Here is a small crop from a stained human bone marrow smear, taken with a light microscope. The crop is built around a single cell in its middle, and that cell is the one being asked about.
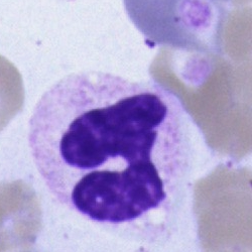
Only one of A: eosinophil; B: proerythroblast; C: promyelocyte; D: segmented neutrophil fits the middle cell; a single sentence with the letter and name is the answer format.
Located in the middle of the crop is a segmented neutrophil, and option D is therefore correct.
